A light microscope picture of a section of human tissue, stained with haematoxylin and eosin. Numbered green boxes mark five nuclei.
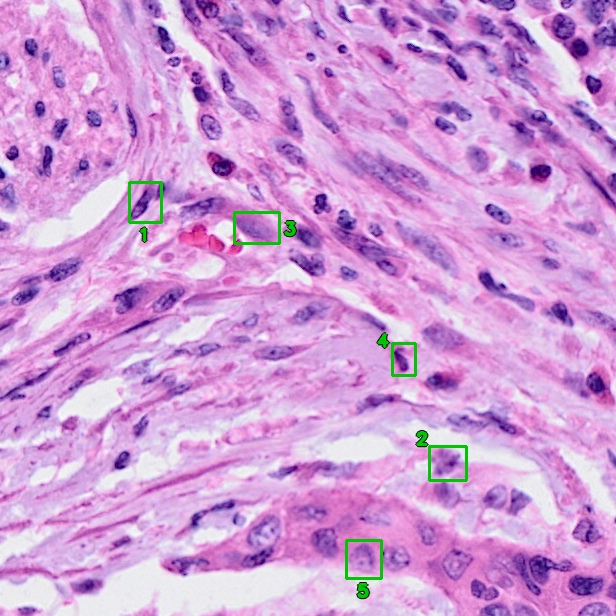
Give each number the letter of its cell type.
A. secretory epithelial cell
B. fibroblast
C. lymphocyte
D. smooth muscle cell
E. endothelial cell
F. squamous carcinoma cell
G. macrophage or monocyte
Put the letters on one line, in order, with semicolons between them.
B; B; E; G; F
